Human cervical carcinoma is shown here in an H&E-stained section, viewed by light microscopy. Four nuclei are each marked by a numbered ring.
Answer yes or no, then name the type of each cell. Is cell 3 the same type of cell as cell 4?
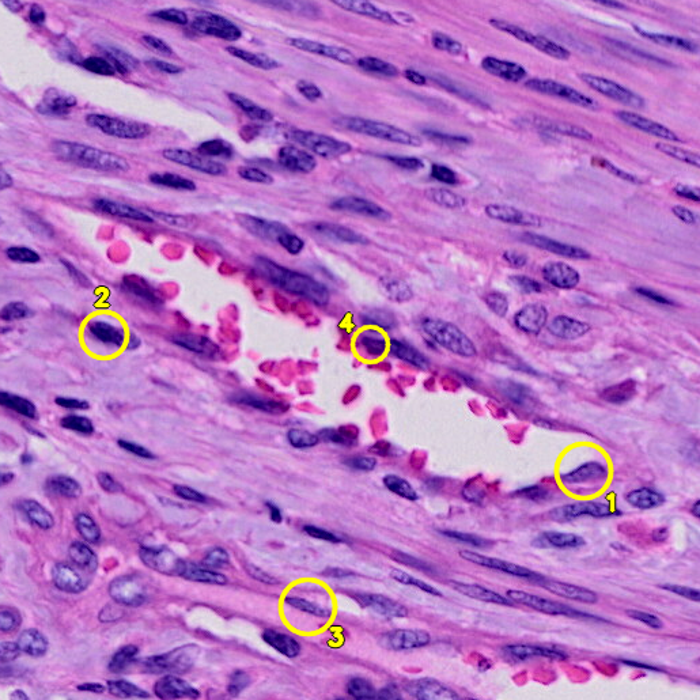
Yes, that is right: cells 3 and 4 are both endothelial cells.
